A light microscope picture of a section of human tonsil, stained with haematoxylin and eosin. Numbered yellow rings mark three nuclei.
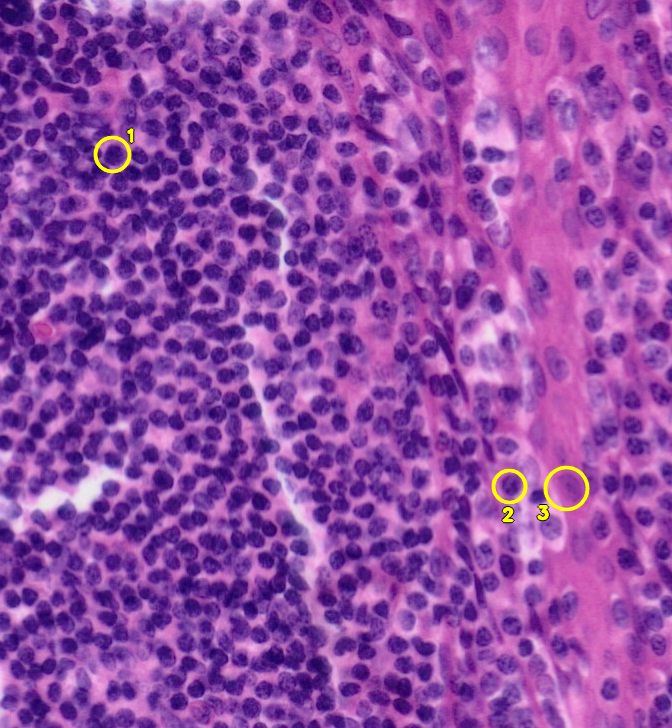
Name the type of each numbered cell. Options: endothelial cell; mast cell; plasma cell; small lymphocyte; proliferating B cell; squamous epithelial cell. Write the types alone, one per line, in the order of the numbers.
small lymphocyte
plasma cell
squamous epithelial cell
